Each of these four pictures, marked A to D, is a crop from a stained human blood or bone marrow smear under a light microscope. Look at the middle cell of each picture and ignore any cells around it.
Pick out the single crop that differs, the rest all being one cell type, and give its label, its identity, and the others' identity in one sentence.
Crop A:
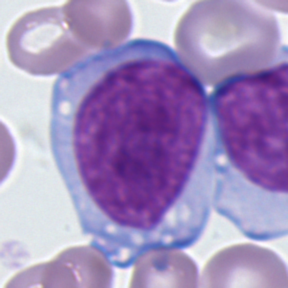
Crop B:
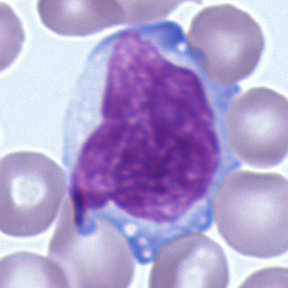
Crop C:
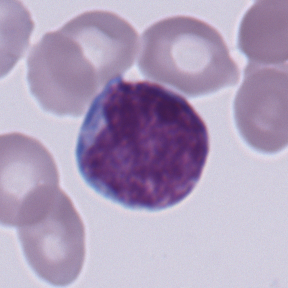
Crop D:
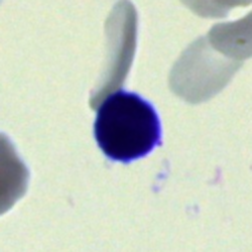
Every crop but one shows blasts; the exception, crop D, shows a lymphocyte.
